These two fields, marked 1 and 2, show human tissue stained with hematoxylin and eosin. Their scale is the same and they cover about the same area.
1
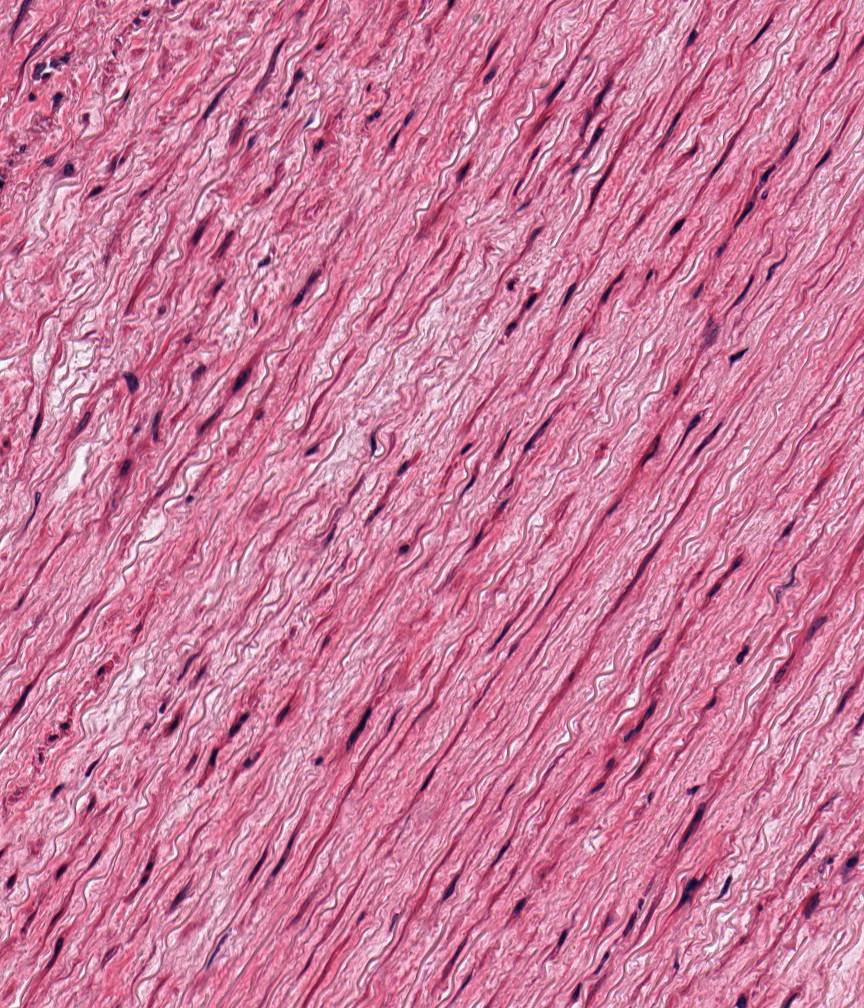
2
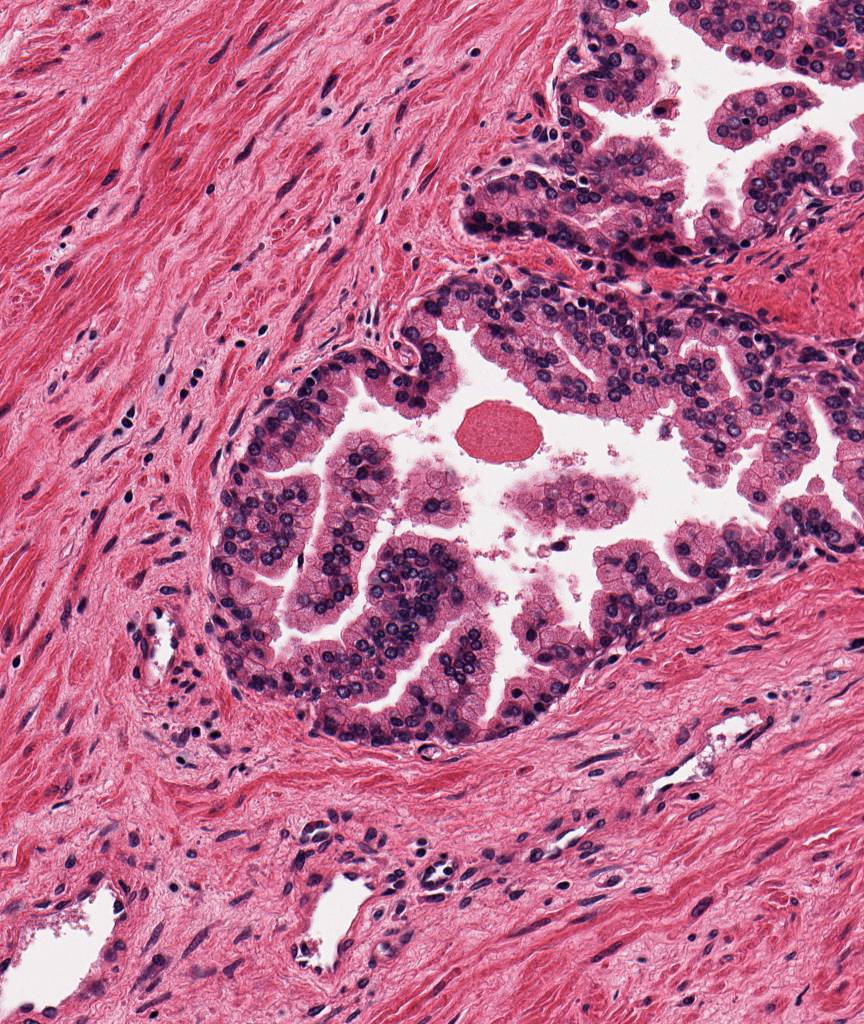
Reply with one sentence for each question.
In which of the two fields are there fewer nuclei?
Field 1 holds fewer nuclei than field 2.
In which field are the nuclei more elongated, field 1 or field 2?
Longer, more slender nuclei lie in field 1.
